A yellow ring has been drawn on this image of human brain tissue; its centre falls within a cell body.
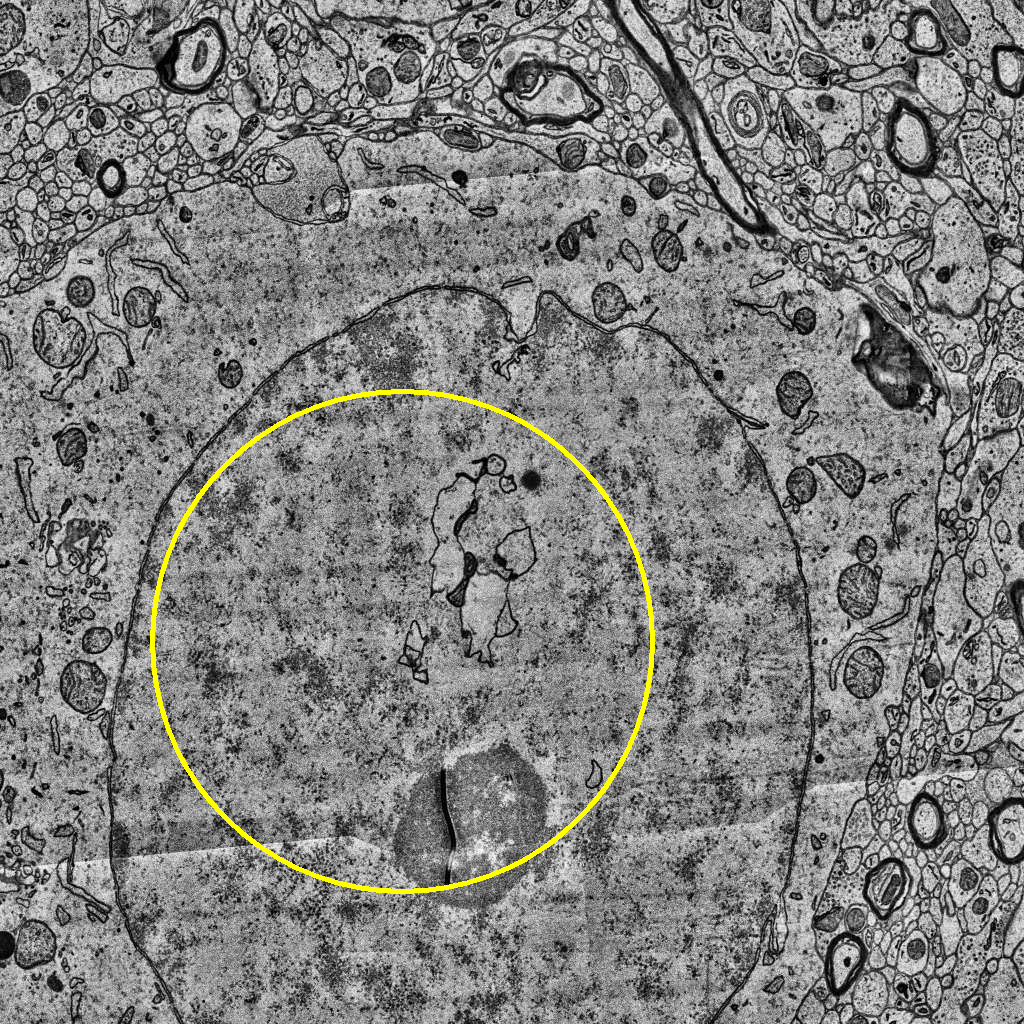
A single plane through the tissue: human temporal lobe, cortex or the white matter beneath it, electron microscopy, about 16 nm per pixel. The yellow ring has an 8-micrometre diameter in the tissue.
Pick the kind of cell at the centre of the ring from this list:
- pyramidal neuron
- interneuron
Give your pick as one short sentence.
The centre of the ring holds a pyramidal neuron.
